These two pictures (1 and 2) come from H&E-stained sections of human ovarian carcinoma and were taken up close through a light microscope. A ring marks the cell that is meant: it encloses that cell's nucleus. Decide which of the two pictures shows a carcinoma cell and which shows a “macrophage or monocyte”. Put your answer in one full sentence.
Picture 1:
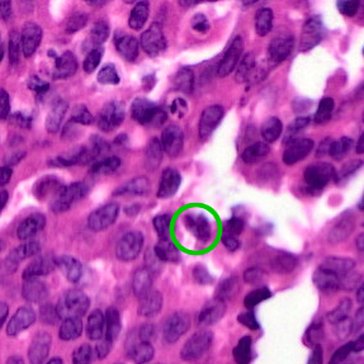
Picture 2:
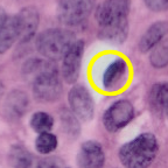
Picture 2 shows a carcinoma cell, while picture 1 shows a “macrophage or monocyte”.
